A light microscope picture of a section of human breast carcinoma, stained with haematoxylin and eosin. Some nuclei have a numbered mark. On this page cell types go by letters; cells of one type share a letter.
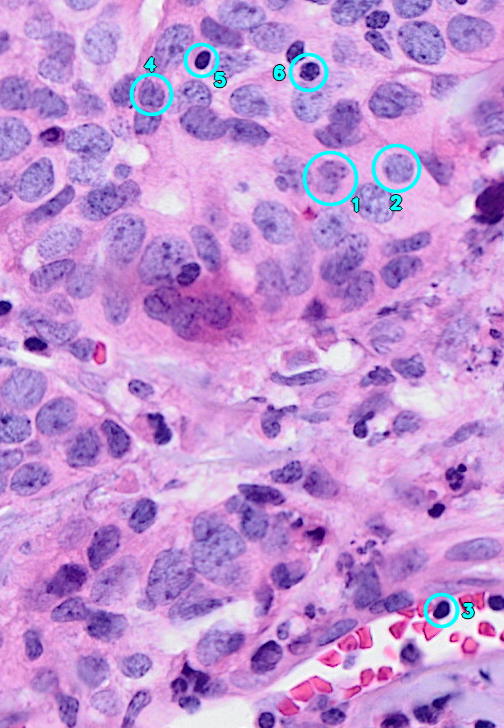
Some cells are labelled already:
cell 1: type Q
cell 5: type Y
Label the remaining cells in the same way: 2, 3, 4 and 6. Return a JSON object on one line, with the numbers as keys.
{"2": "type Q", "3": "type Y", "4": "type Q", "6": "type Y"}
